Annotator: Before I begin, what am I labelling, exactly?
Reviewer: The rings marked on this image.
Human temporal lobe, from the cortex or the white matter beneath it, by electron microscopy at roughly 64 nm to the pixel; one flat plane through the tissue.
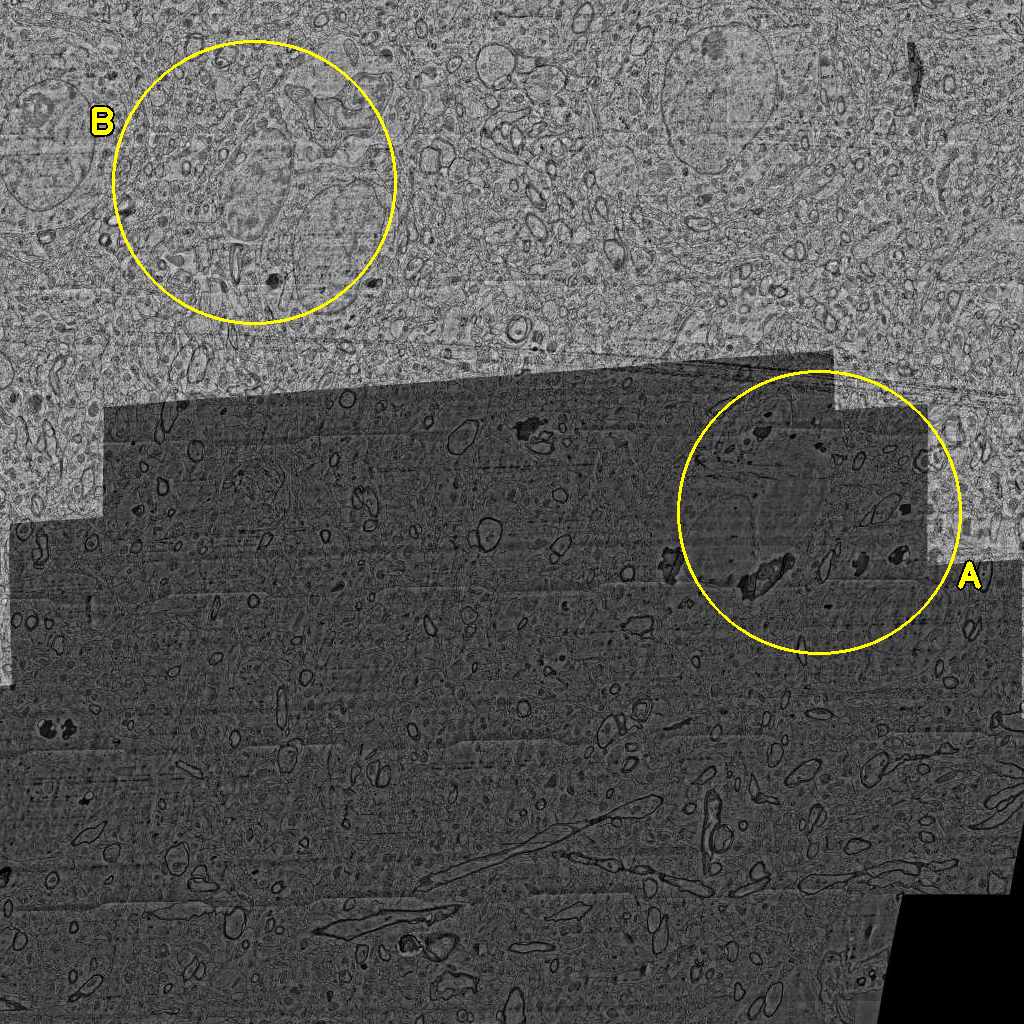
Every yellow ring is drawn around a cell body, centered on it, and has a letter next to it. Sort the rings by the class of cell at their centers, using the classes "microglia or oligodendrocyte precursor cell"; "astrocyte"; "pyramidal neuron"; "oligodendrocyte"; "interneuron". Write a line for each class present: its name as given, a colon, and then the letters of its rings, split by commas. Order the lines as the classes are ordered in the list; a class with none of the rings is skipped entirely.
oligodendrocyte: A, B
